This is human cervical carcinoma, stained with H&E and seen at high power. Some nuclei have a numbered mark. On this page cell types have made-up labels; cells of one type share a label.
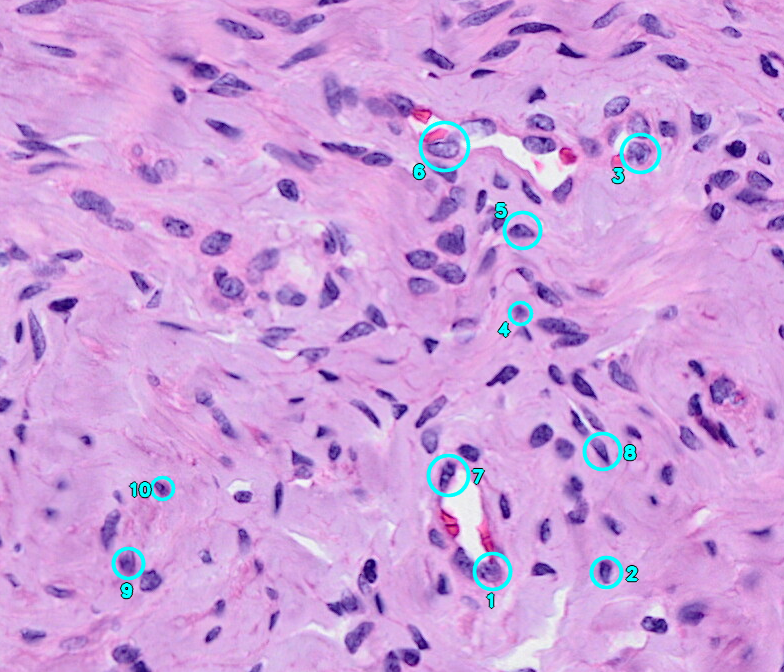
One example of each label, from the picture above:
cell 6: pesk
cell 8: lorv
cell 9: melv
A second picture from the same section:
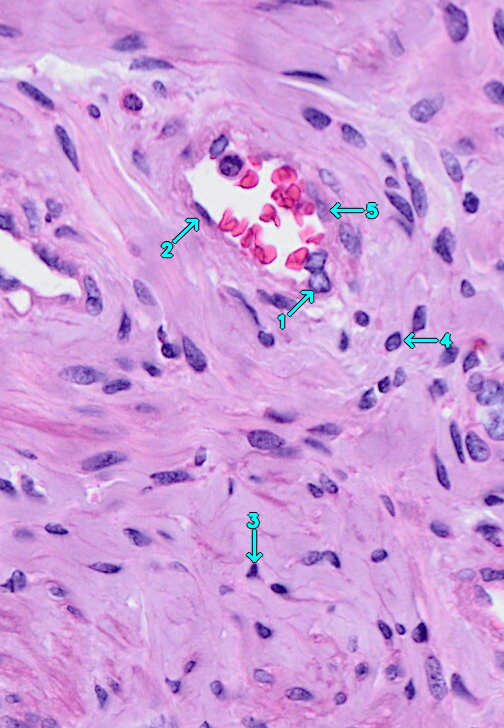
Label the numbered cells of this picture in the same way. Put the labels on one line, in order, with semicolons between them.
pesk; pesk; lorv; lorv; pesk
